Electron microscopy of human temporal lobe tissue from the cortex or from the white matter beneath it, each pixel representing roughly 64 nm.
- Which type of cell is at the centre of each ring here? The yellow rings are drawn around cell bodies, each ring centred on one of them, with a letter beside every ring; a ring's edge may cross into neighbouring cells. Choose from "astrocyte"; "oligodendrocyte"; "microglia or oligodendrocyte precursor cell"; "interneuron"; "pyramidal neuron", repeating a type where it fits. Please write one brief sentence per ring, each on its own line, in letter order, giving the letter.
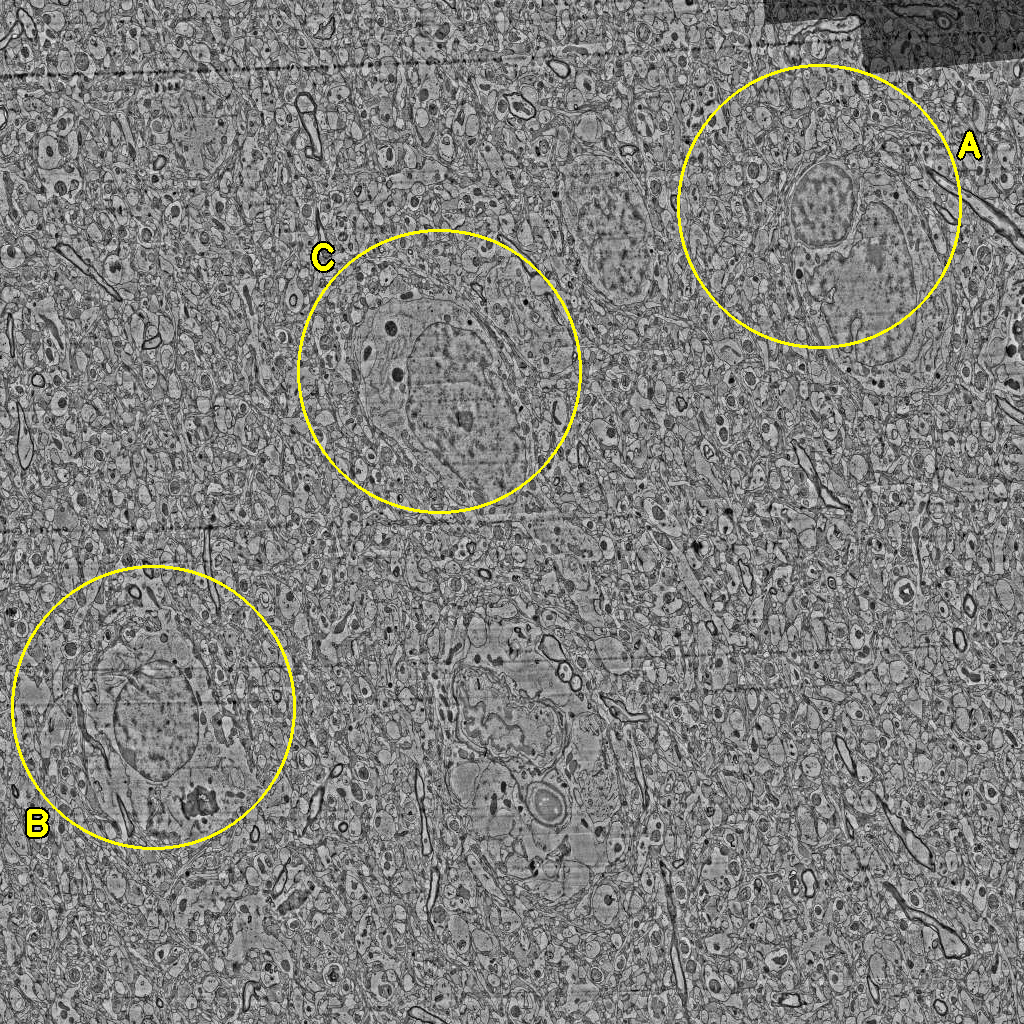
Ring A is centred over an oligodendrocyte.
Ring B is centred over an astrocyte.
Ring C is centred over an interneuron.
